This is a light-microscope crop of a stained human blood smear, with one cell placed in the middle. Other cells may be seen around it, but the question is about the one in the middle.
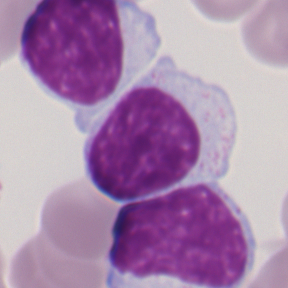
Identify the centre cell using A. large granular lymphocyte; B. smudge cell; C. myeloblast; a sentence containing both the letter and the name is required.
Well, the cell in the middle is a large granular lymphocyte, making option A right.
